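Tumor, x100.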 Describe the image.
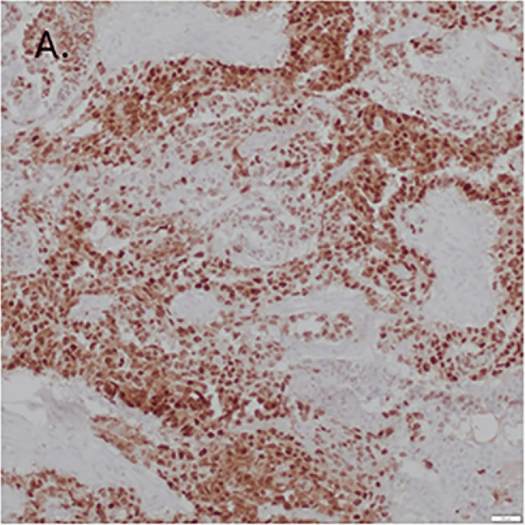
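Neoplastic cells lie in densely cellular nests and cords separated by pale fibrous stroma and small vessels. The stain is dark brown in crowded, round to oval nuclei. The stroma between the nests stays unstained and pale.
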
